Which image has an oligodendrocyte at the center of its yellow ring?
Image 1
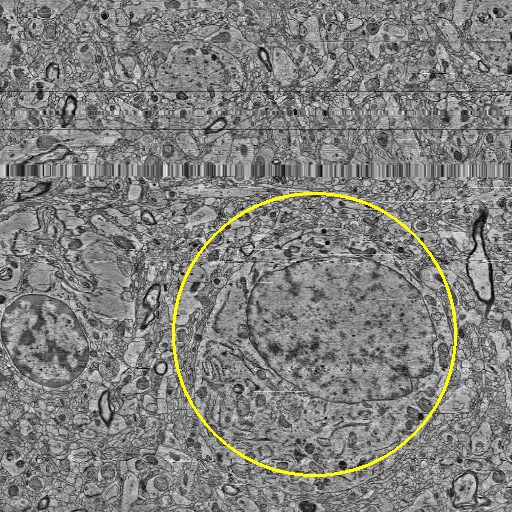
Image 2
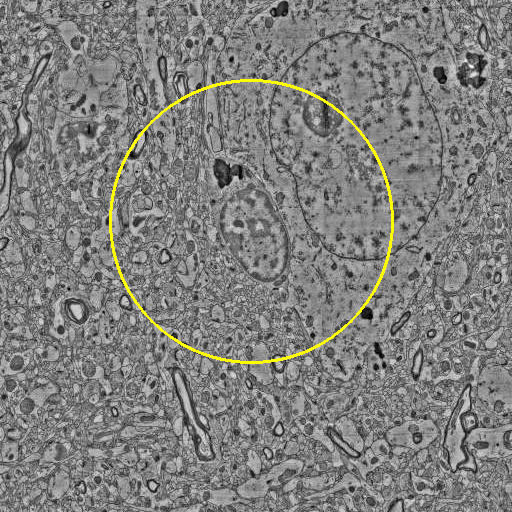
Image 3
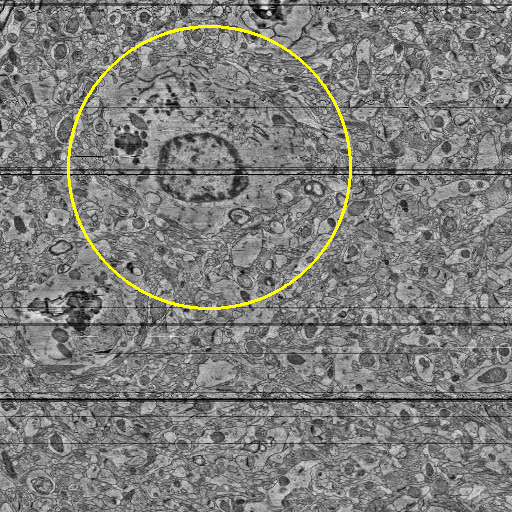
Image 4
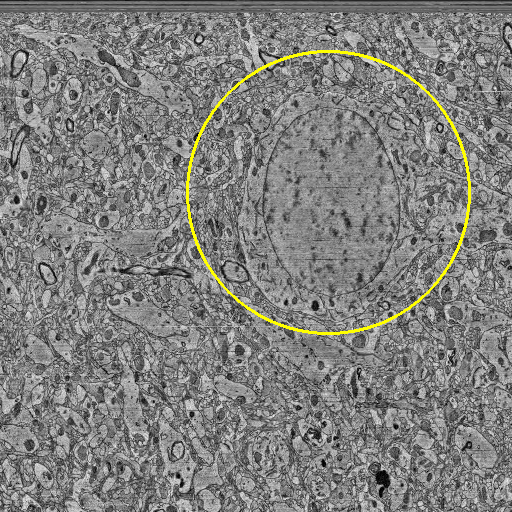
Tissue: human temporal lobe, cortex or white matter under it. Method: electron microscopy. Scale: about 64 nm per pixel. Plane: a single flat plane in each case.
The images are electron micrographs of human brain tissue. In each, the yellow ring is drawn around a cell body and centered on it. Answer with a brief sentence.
It is at the center of the ring in Image 2.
